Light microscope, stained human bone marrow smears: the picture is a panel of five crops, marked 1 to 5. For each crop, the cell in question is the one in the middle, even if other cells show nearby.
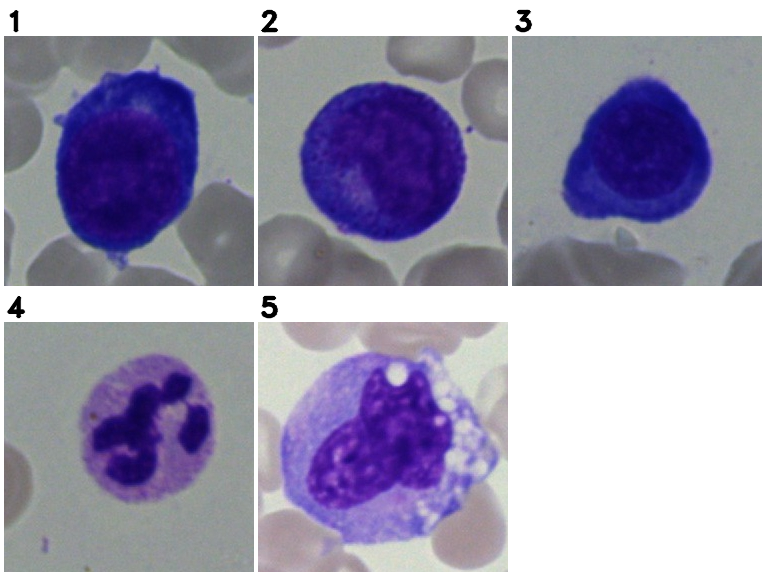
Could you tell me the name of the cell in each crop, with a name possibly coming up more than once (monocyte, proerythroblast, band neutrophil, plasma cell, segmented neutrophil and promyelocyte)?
1: proerythroblast
2: promyelocyte
3: plasma cell
4: segmented neutrophil
5: monocyte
